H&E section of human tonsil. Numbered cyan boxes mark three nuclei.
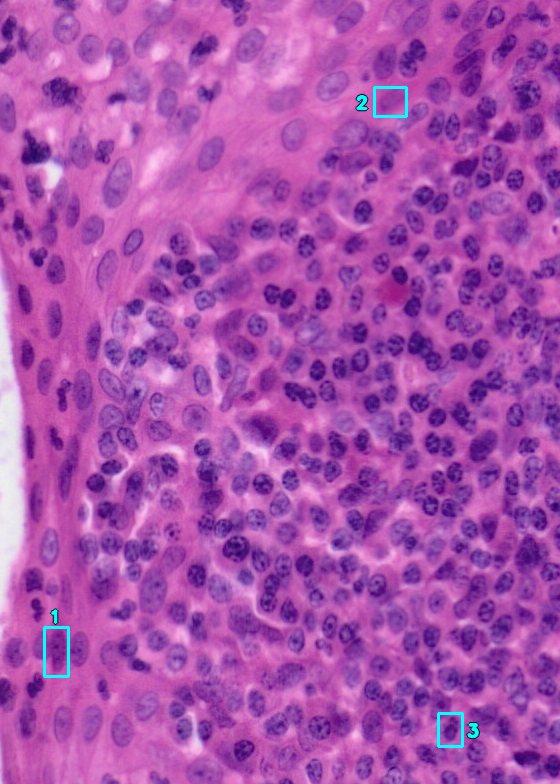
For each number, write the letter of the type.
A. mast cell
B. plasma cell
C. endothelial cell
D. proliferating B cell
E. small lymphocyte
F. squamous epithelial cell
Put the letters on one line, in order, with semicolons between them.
F; F; B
